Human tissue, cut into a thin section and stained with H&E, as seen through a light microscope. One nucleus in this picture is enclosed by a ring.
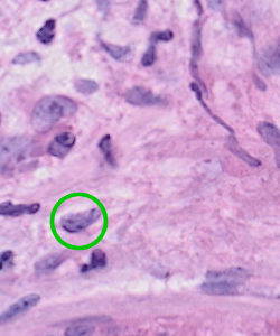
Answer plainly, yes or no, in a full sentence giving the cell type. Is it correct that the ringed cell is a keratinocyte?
No, it is not a keratinocyte but a macrophage, monocyte or dendritic cell that the ringed cell represents.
